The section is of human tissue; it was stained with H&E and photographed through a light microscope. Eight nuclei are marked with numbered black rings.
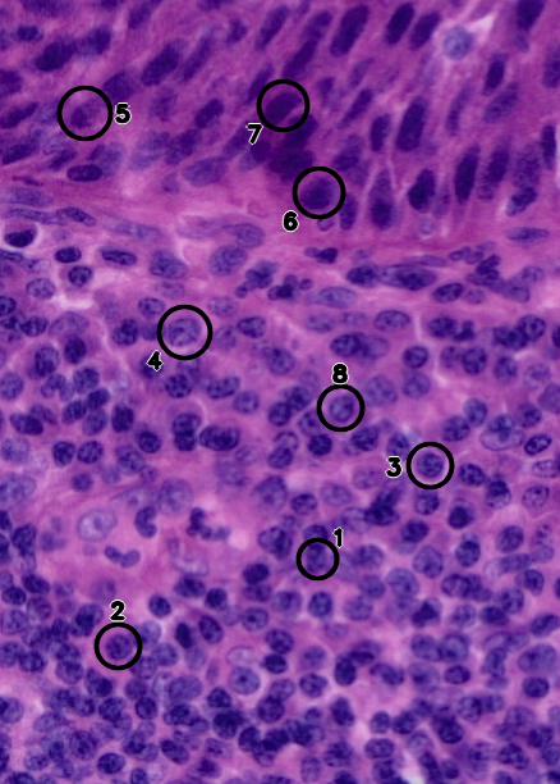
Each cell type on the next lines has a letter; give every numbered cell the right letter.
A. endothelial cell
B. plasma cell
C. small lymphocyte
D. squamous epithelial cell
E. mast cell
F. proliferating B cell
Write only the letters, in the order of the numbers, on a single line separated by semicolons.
B; B; B; B; D; D; D; B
